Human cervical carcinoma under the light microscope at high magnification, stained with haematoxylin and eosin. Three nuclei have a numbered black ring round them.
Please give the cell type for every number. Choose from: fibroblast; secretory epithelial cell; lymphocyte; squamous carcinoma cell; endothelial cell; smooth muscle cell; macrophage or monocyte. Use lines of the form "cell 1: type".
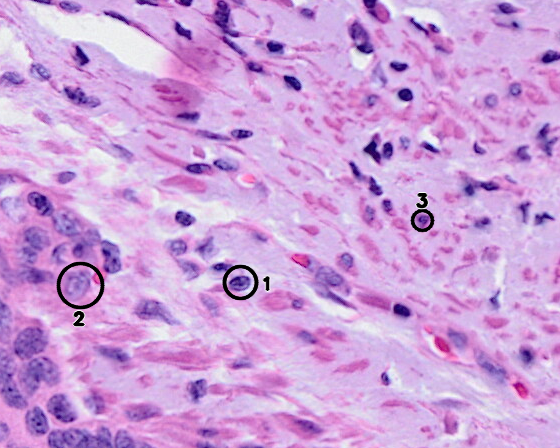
cell 1: lymphocyte
cell 2: endothelial cell
cell 3: smooth muscle cell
